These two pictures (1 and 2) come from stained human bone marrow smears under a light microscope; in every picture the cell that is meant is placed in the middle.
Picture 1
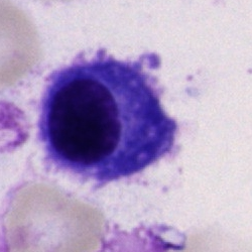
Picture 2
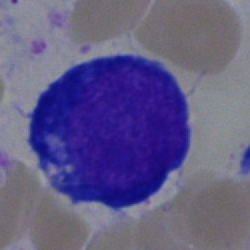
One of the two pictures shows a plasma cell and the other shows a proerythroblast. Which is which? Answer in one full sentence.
In picture 1 the cell is a plasma cell; in picture 2, a proerythroblast.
